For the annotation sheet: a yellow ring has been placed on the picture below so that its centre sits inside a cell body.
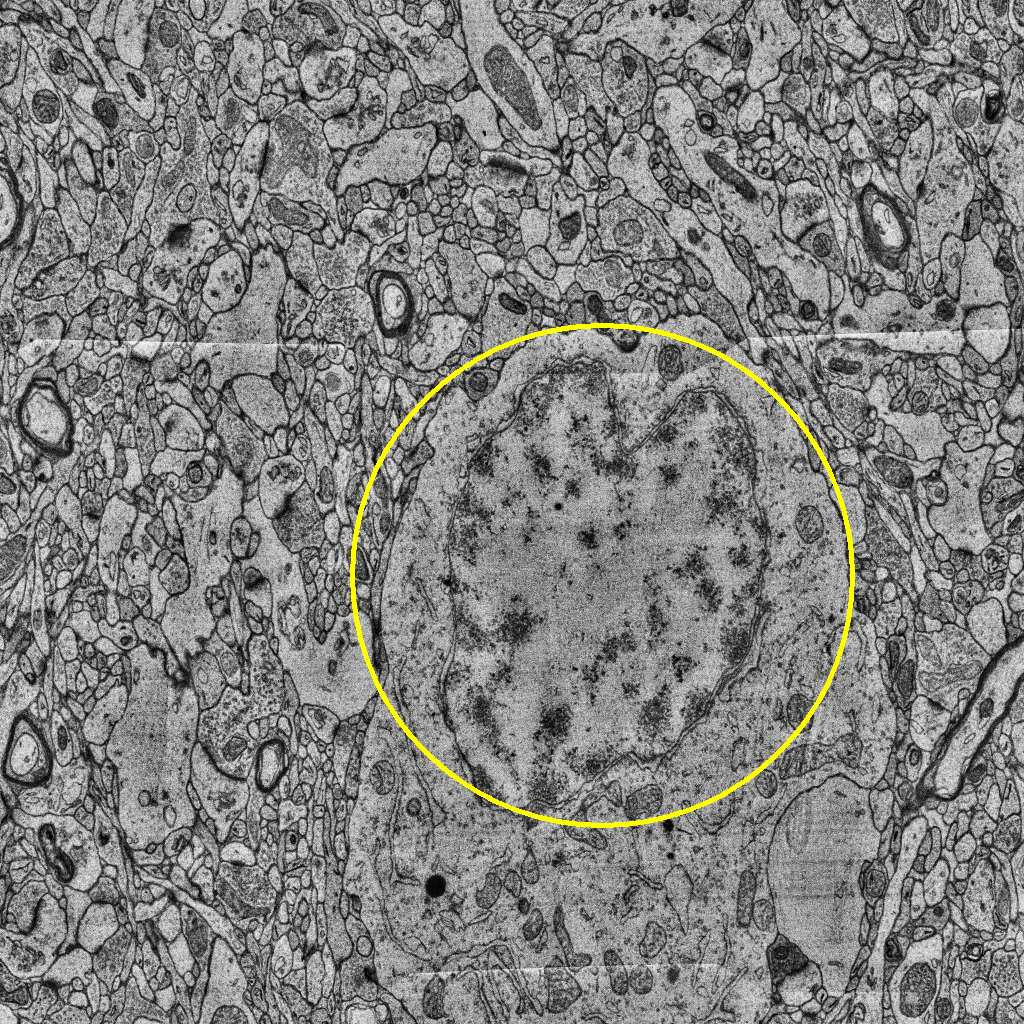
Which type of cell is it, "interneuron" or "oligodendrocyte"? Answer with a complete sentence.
The cell at the ring's centre is an interneuron.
